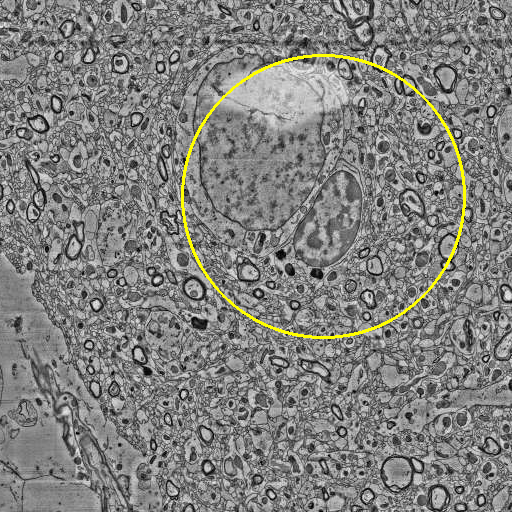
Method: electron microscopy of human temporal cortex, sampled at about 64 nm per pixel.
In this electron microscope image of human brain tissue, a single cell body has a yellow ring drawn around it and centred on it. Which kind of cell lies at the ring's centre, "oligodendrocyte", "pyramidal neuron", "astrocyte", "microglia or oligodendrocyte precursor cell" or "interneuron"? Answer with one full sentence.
It is a microglial cell or oligodendrocyte precursor cell whose cell body lies at the centre of the yellow ring here.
